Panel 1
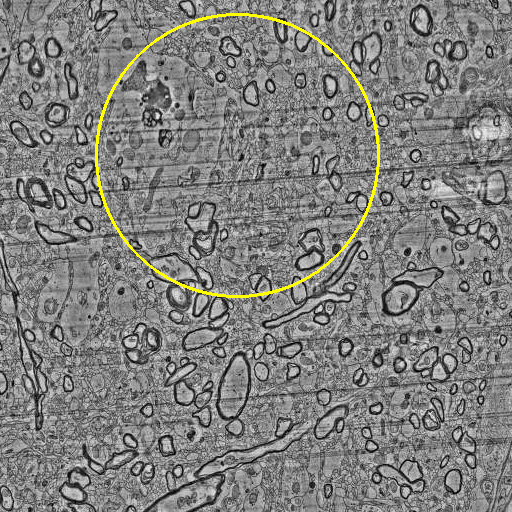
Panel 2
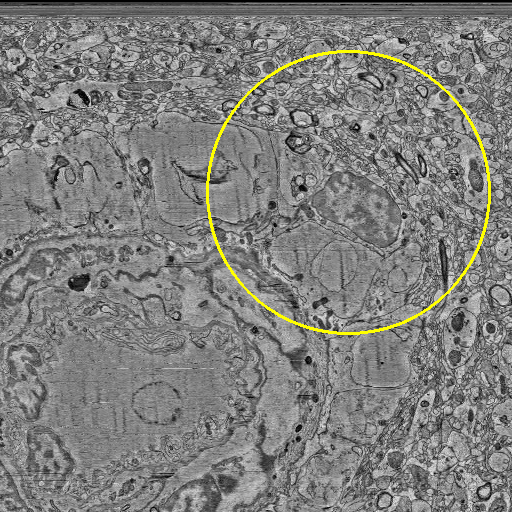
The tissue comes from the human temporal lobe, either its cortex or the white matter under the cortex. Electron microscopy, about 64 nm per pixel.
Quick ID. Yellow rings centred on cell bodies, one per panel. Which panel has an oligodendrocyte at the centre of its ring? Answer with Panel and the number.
Panel 1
